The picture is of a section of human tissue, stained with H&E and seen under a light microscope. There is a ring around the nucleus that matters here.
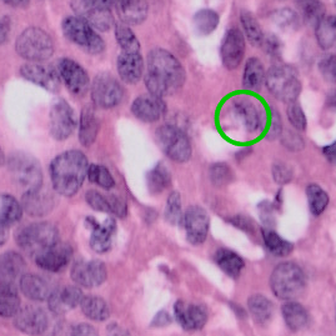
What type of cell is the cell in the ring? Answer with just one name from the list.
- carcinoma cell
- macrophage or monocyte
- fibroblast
carcinoma cell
